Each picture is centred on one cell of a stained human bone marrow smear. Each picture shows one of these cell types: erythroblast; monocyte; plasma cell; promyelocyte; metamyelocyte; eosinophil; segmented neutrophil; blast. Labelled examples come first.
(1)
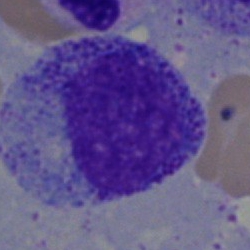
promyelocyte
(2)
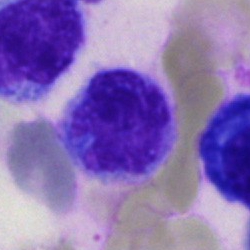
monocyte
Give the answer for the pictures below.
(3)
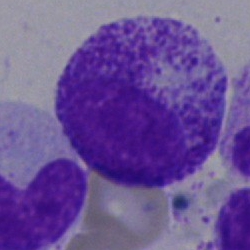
promyelocyte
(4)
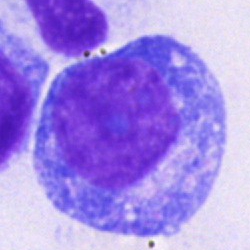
promyelocyte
